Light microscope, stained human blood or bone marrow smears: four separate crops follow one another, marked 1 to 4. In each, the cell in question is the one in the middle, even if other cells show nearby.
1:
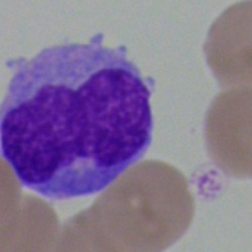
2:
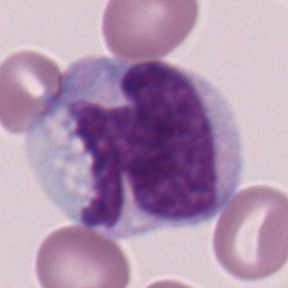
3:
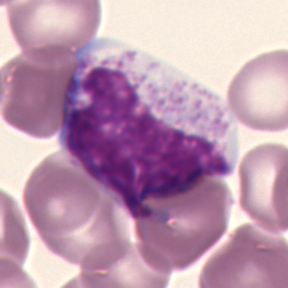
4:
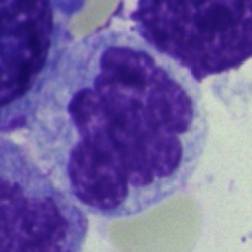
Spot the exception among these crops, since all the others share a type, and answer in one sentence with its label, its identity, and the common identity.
Crop 3 alone shows a myelocyte; the other crops are all monocytes.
